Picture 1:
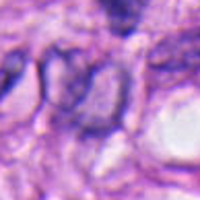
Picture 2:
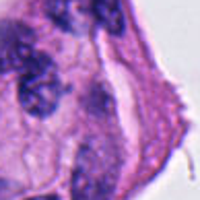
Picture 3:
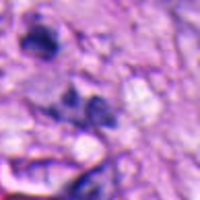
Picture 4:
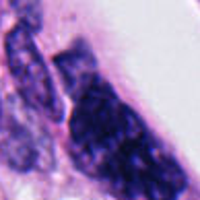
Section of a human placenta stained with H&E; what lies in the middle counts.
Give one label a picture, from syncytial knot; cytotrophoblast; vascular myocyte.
Picture 1: vascular myocyte
Picture 2: cytotrophoblast
Picture 3: vascular myocyte
Picture 4: syncytial knot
